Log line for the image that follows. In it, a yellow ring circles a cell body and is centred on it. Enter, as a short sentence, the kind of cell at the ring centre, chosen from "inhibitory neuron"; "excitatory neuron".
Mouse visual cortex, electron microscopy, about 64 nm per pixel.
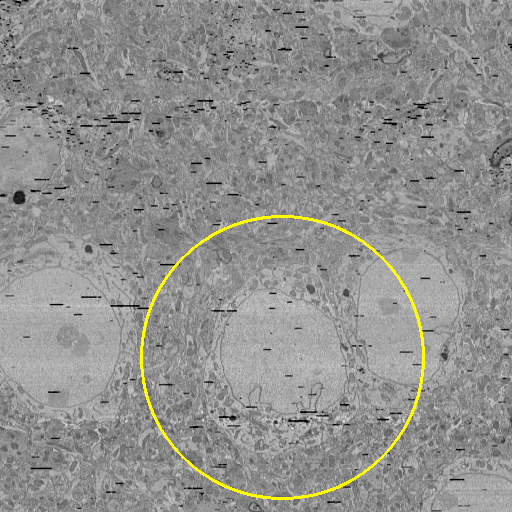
The ring centre is occupied by an inhibitory neuron.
